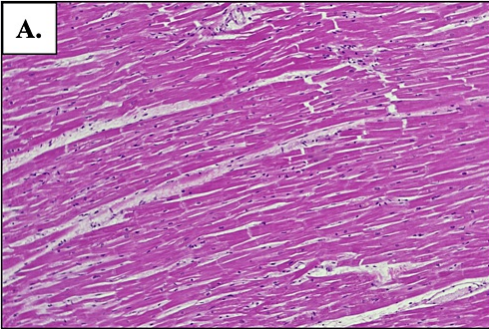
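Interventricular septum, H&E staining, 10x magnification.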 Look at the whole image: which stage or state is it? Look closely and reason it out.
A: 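Pink elongated muscle fibers all run in the same diagonal direction. Small dark elongated nuclei lie in rows along the fibers. Narrow pale clefts separate fiber bundles running the same way. That points to this answer: parallel arrangement of cardiomyocytes.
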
